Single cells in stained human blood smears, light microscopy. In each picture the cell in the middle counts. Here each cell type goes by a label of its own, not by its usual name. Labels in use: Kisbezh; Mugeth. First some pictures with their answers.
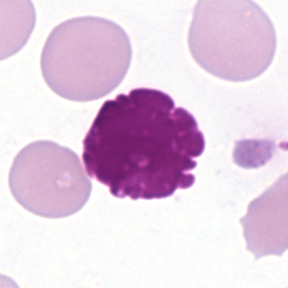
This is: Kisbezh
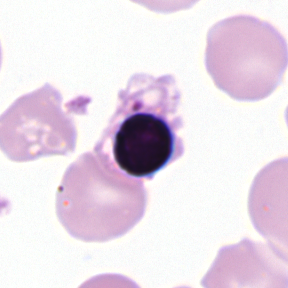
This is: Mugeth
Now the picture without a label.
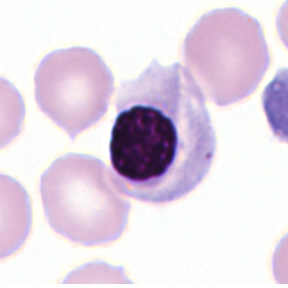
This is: Mugeth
